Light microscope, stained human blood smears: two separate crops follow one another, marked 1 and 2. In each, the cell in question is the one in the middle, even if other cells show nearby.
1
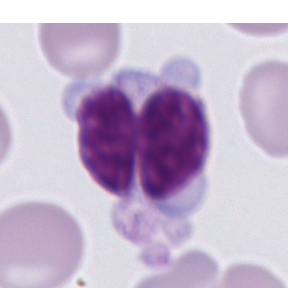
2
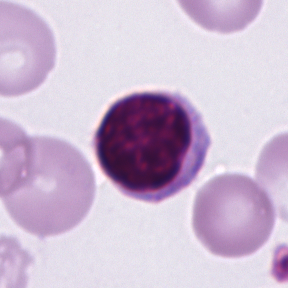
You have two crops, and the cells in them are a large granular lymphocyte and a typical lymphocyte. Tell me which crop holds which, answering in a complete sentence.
In crop 1 the cell is a large granular lymphocyte, while in crop 2 it is a typical lymphocyte.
